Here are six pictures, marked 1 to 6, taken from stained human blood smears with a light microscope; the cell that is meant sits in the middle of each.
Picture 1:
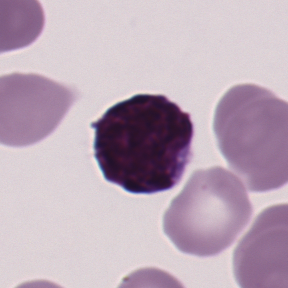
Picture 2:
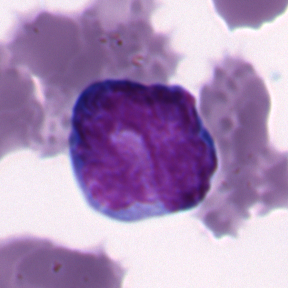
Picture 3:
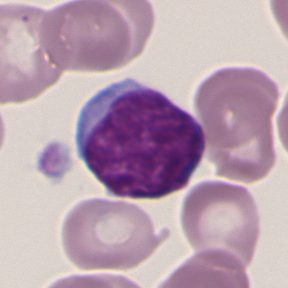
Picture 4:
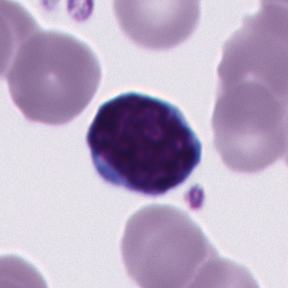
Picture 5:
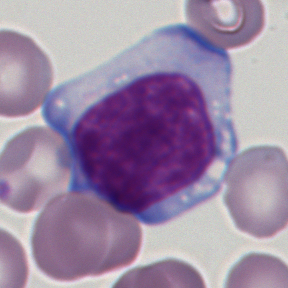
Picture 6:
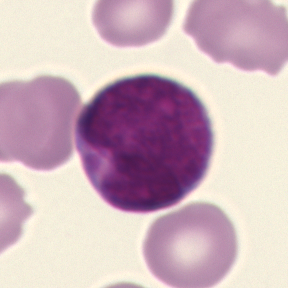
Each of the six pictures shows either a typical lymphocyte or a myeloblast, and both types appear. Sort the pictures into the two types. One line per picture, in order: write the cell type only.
myeloblast
myeloblast
typical lymphocyte
typical lymphocyte
myeloblast
myeloblast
